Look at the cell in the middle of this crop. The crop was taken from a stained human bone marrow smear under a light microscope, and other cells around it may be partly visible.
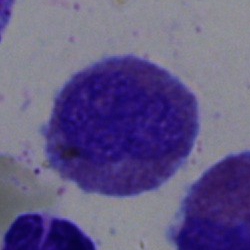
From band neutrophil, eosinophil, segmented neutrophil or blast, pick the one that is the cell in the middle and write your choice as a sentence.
The central cell shown in this smear crop is an eosinophil.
